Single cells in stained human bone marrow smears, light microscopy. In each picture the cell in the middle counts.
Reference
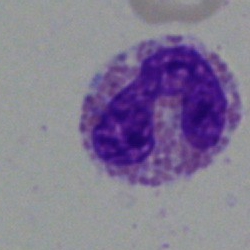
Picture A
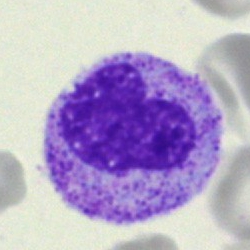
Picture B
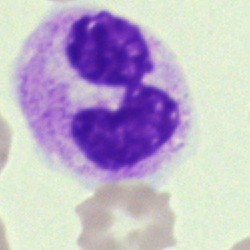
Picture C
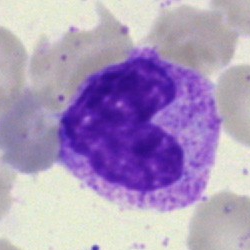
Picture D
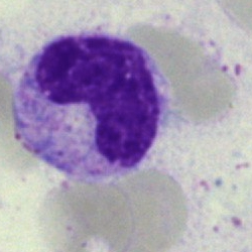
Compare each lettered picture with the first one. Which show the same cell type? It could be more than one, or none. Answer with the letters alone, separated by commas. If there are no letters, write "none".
none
